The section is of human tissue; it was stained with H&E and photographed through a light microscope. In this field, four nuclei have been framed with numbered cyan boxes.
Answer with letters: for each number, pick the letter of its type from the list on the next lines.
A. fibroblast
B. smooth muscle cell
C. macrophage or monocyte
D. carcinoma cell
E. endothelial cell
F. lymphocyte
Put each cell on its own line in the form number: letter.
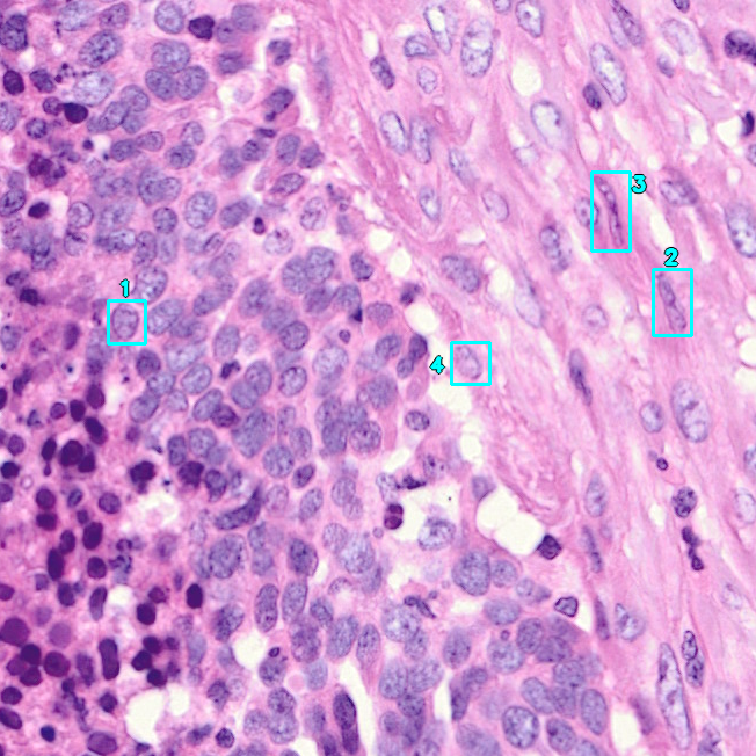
1: D
2: A
3: A
4: A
